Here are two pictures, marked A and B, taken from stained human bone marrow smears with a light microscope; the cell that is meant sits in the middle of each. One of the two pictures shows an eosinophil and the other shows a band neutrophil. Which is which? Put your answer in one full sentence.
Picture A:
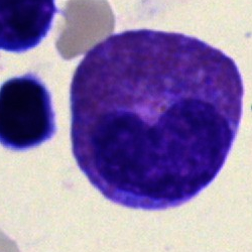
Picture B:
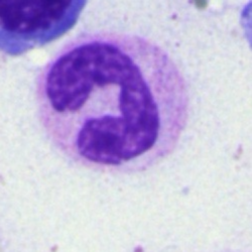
Picture B shows a band neutrophil, while picture A shows an eosinophil.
